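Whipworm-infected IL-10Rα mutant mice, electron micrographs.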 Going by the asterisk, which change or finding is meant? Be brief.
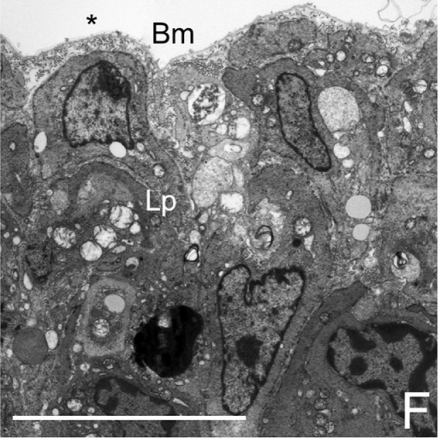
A: Denuded epithelium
